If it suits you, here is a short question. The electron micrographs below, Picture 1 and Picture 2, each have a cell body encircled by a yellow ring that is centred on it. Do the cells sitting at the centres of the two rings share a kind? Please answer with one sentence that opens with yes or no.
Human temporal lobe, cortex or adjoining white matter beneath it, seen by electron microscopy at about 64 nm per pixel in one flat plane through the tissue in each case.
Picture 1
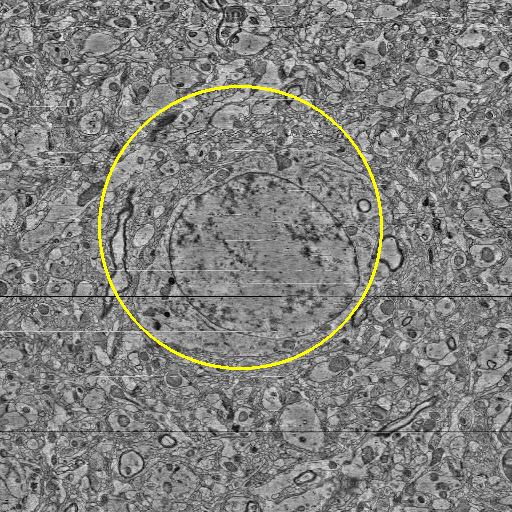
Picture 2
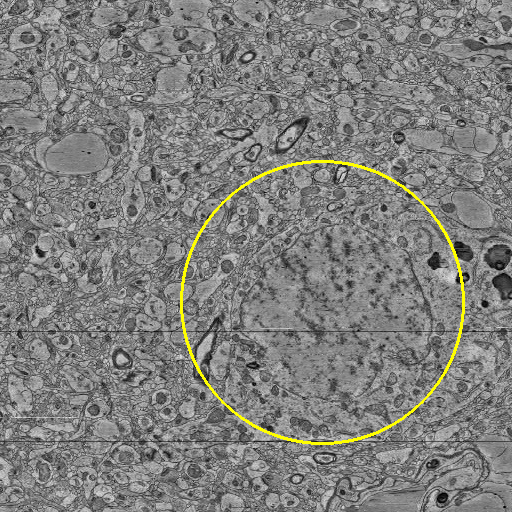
No, the two cells sitting at the ring centres fall into two kinds.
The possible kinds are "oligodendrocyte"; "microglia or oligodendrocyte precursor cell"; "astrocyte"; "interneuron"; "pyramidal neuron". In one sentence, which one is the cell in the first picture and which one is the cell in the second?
The cell ringed in the second picture is an interneuron, whereas the one ringed in the first is a pyramidal neuron.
